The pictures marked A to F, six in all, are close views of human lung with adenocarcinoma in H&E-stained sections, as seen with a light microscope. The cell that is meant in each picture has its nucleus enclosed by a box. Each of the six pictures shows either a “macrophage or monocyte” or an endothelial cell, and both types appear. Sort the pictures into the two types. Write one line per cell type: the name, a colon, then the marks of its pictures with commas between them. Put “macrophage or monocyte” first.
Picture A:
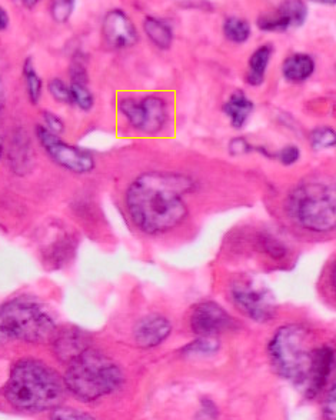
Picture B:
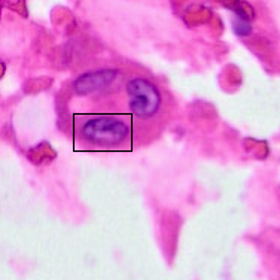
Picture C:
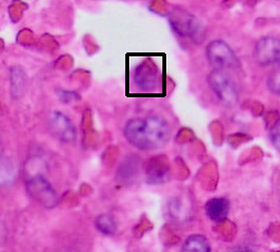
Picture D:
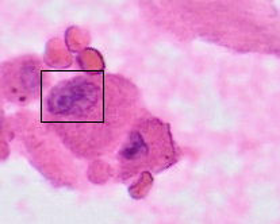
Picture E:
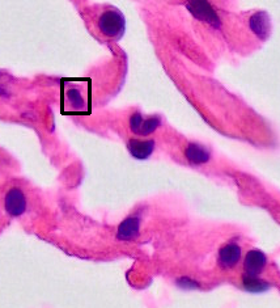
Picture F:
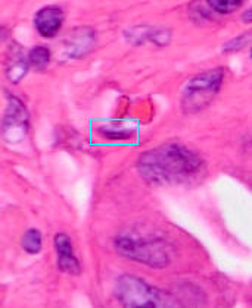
macrophage or monocyte: A, B, C, D
endothelial cell: E, F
